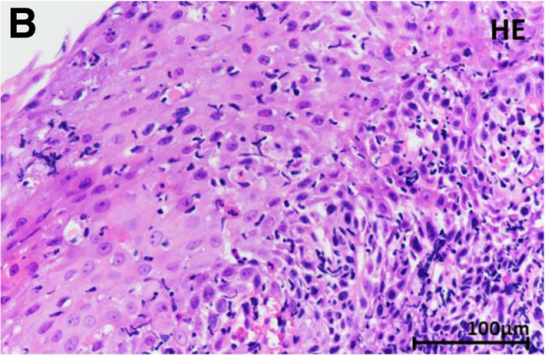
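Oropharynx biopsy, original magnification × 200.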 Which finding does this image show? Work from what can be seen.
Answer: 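Small dark, irregular nuclei lie scattered between large polygonal cells with pink cytoplasm. The infiltrating cells are densest toward the right, beneath the epithelium. The answer: infiltration of the epithelial layer.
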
